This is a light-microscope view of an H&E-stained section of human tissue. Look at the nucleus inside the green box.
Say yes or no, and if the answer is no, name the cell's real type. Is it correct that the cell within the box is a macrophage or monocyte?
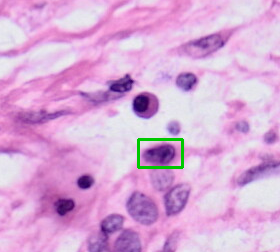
Yes.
